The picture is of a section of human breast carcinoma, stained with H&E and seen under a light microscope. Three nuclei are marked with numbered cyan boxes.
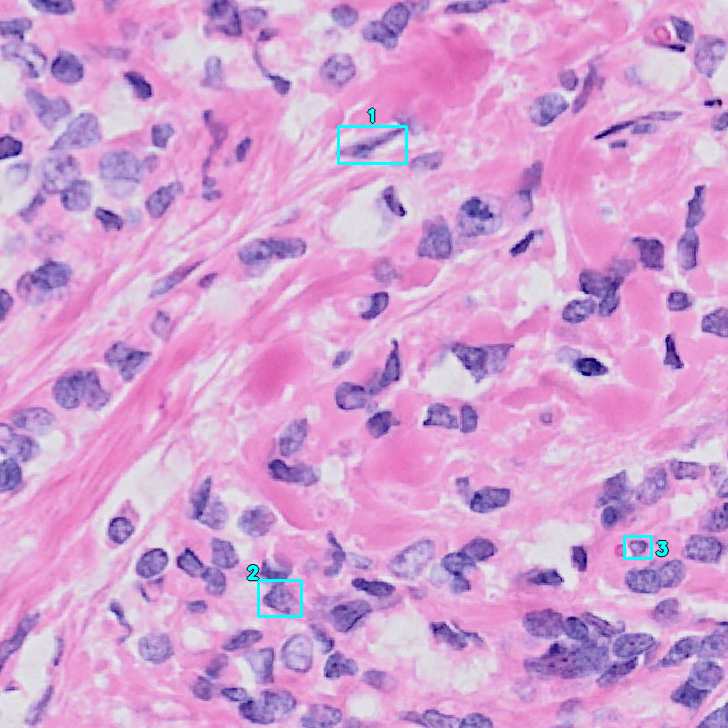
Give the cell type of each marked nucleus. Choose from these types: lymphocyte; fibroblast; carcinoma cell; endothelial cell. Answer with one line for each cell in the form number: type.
1: fibroblast
2: carcinoma cell
3: endothelial cell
